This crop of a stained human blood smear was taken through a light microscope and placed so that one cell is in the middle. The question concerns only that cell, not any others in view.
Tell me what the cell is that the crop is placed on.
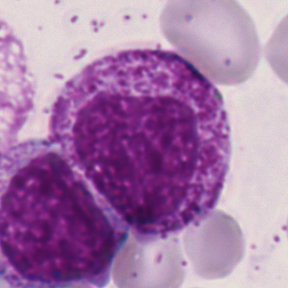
myelocyte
